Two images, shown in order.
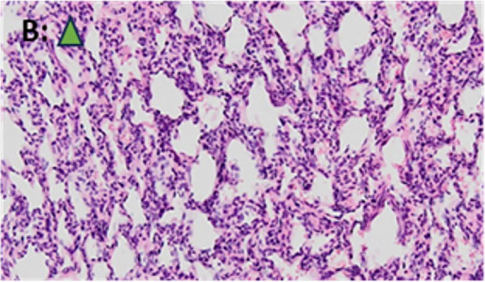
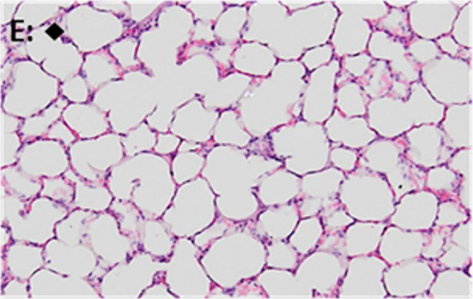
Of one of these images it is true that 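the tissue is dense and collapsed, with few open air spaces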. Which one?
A: the first image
